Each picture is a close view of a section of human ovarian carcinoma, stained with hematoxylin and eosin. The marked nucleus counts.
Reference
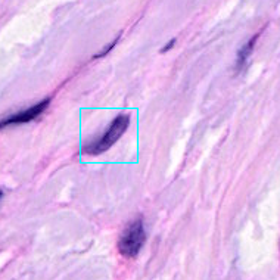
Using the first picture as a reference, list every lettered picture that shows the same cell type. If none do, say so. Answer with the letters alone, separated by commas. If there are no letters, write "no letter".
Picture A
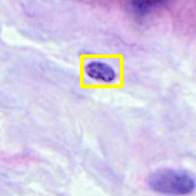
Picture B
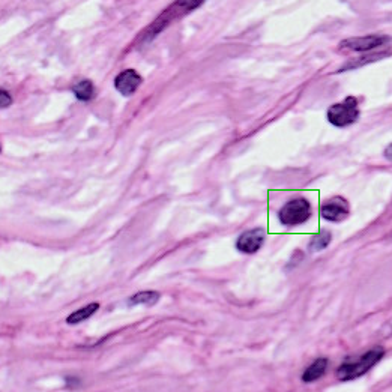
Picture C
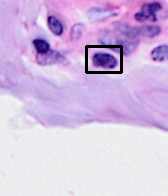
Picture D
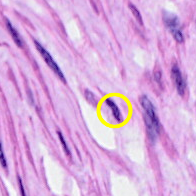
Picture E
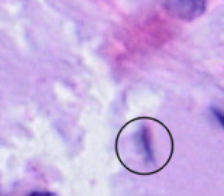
D, E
